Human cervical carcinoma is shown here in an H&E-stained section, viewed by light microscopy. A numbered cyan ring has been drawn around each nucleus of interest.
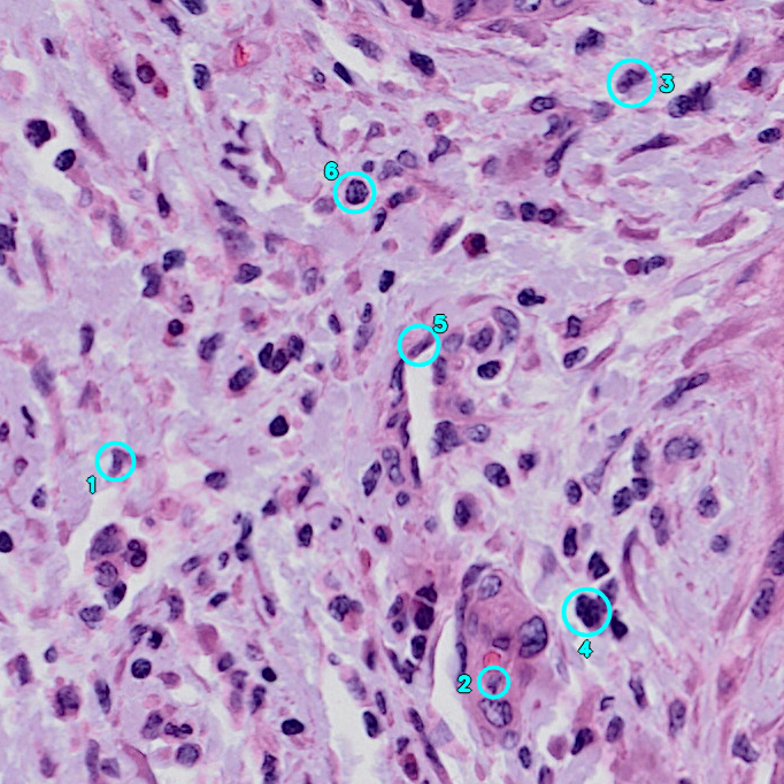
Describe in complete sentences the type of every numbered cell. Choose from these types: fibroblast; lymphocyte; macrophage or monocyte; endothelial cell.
Cell 1 is a fibroblast, cell 2 is an endothelial cell, cell 3 is a macrophage or monocyte, cell 4 is a lymphocyte, cell 5 is an endothelial cell and cell 6 is a lymphocyte.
